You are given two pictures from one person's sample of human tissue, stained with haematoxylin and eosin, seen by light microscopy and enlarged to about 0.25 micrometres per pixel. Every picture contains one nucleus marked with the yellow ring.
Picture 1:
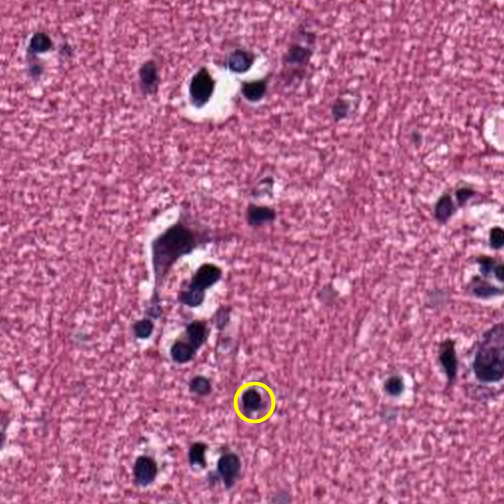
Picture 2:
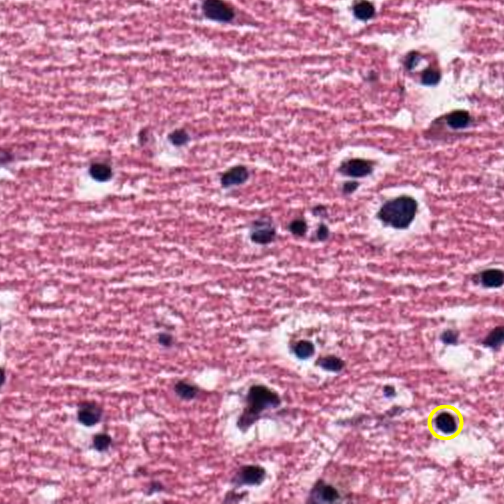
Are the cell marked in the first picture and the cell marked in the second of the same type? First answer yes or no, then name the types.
Yes, both are oligodendrocytes.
